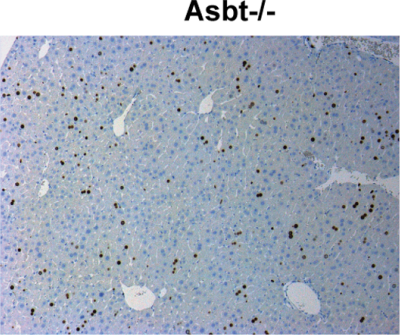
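This is liver tissue made of sheets of hepatocytes, with only a modest number of nuclei stained dark brown. Most hepatocyte nuclei carry just the pale blue counterstain, and the cells have broad, lightly stained cytoplasm. Clear vascular lumens of various sizes interrupt the tissue, with hepatocyte plates reaching up to them. Overall the field looks paler and less crowded with brown nuclei than a strongly labelled liver would.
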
